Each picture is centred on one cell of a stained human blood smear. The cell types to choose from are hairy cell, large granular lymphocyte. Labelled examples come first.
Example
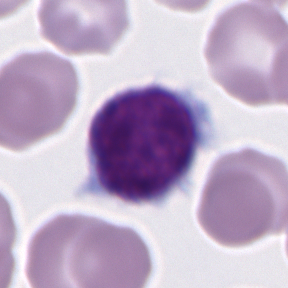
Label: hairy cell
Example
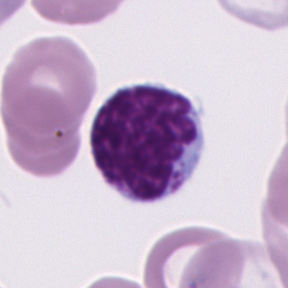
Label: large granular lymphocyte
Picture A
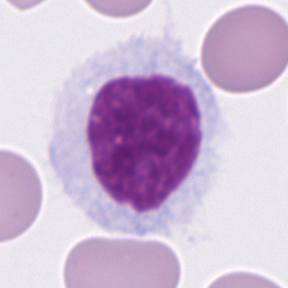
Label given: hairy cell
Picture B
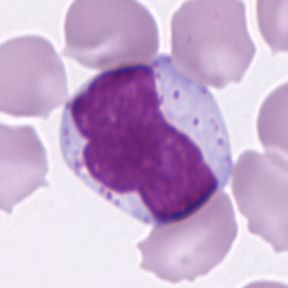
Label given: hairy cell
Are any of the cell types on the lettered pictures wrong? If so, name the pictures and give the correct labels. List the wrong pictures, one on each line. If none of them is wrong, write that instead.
B: not hairy cell but large granular lymphocyte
